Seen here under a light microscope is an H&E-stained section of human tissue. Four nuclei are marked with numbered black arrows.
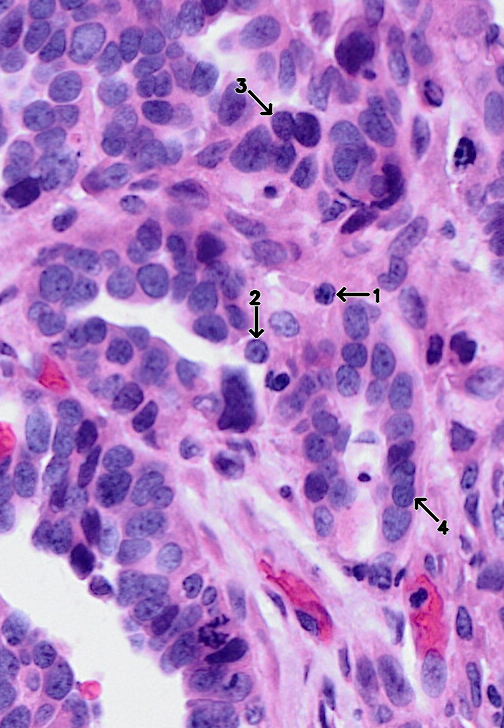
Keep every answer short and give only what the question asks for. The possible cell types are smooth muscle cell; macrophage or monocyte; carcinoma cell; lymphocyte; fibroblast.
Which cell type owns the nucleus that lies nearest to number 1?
carcinoma cell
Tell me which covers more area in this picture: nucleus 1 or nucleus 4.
4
